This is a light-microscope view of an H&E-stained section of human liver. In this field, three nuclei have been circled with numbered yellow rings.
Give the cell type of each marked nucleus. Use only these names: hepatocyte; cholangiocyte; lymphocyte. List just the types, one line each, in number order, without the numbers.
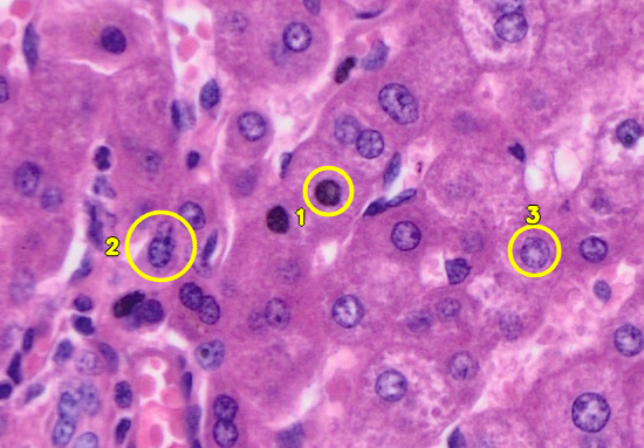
hepatocyte
cholangiocyte
hepatocyte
